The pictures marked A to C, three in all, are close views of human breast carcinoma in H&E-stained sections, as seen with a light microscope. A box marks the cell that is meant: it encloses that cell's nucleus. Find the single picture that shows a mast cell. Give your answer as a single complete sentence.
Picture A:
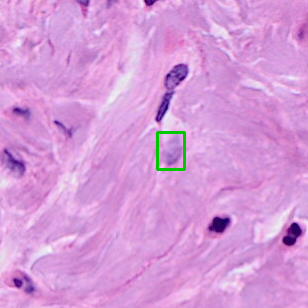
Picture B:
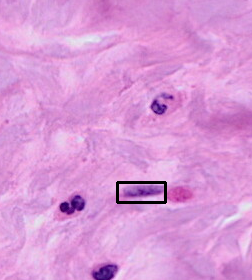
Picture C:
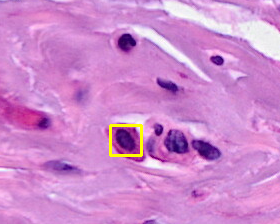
Picture C is the one that shows the mast cell.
